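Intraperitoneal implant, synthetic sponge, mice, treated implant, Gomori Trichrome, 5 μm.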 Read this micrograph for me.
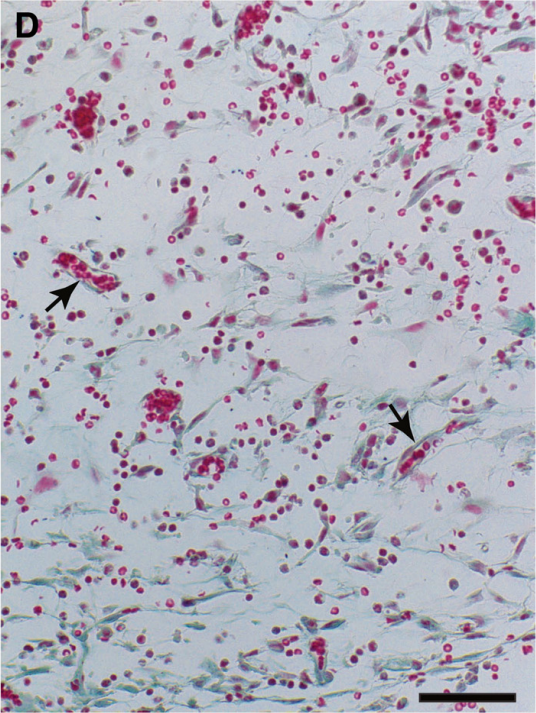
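The background is largely pale, with thin blue-green fibres spread loosely through it. Elongated spindle-shaped cells with tapered ends are scattered among small rounded cells and many free red-stained red blood cells. A few narrow channels and small clusters filled with tightly packed red cells mark the blood vessels. Compared with denser granulation tissue, the cells here lie far apart.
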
